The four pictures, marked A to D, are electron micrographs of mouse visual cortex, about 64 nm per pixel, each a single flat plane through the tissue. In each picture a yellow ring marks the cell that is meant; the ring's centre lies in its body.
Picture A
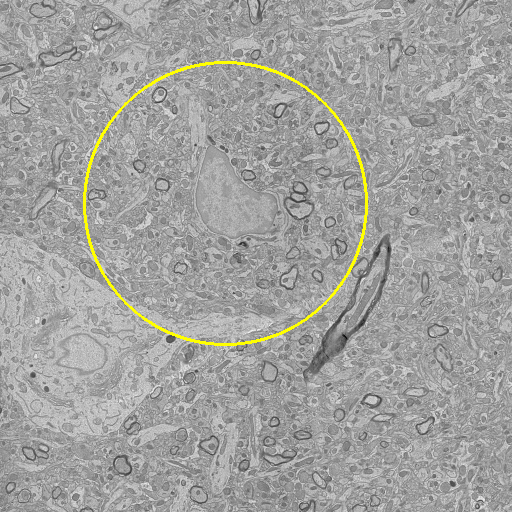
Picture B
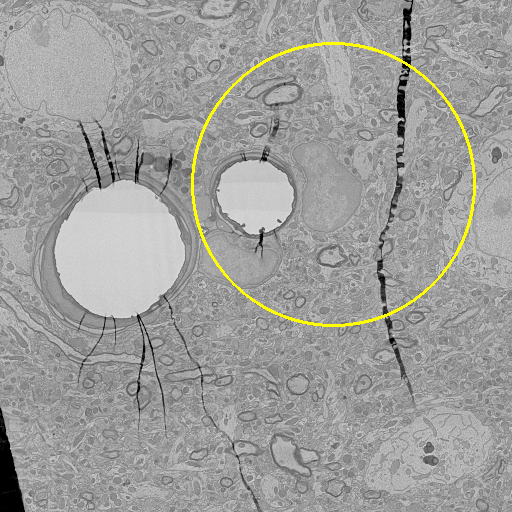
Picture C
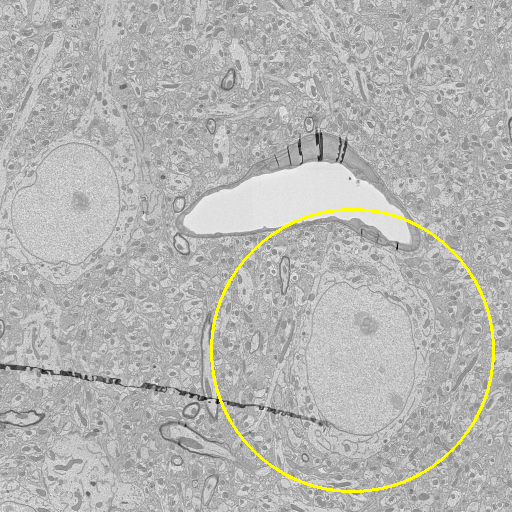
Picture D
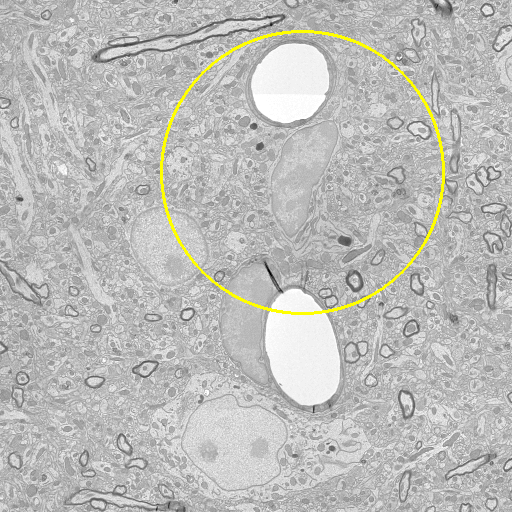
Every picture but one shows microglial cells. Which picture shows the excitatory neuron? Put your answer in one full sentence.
Picture C shows the excitatory neuron.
